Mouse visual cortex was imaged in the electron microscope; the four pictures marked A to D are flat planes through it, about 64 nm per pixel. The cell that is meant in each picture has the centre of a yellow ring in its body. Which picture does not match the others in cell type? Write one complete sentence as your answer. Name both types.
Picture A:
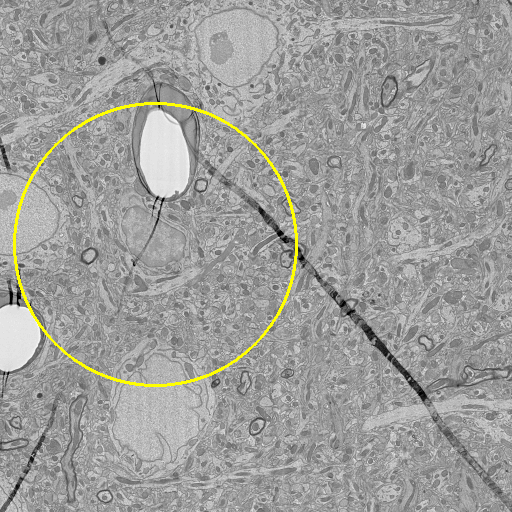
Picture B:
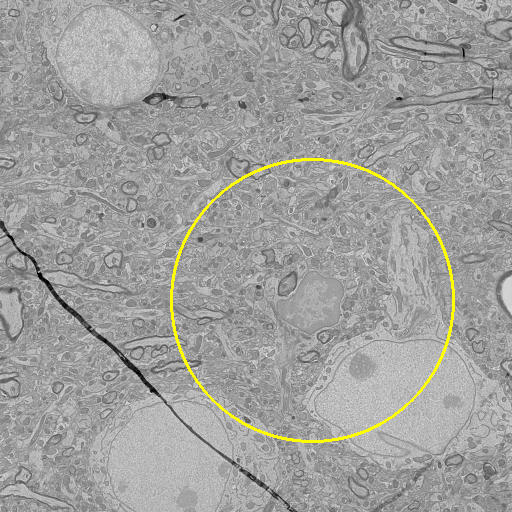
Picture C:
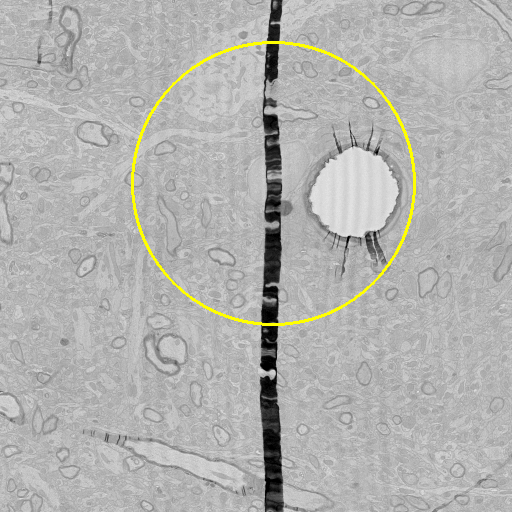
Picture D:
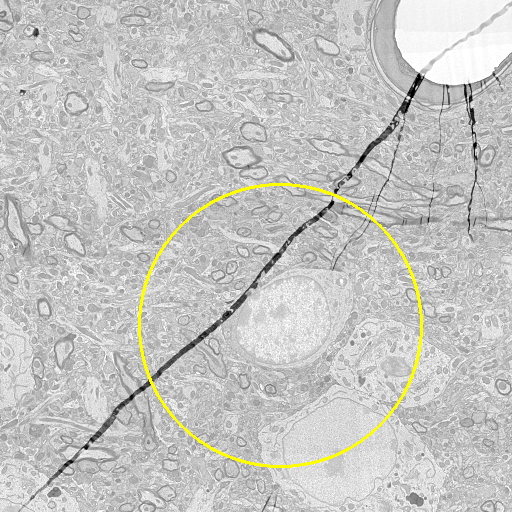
All pictures except D show microglial cells; picture D shows an oligodendrocyte.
